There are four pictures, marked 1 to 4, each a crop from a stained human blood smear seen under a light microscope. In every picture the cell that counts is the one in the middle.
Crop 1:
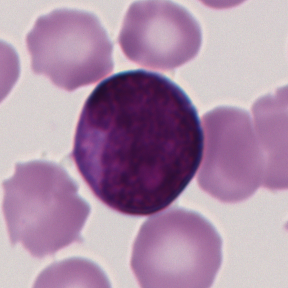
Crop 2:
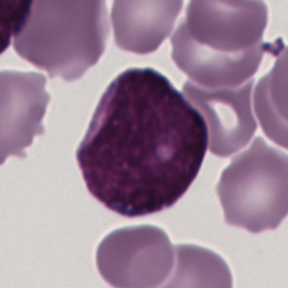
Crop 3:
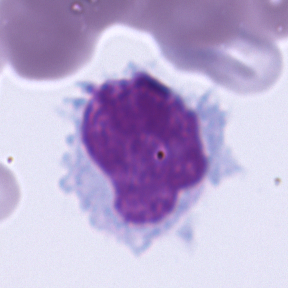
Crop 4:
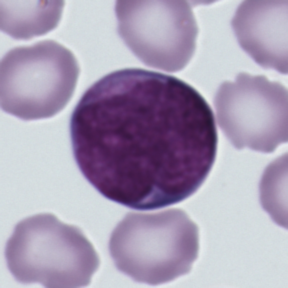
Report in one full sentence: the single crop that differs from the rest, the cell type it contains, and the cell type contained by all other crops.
Whereas the other crops all show blasts, crop 3 shows a hairy cell.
